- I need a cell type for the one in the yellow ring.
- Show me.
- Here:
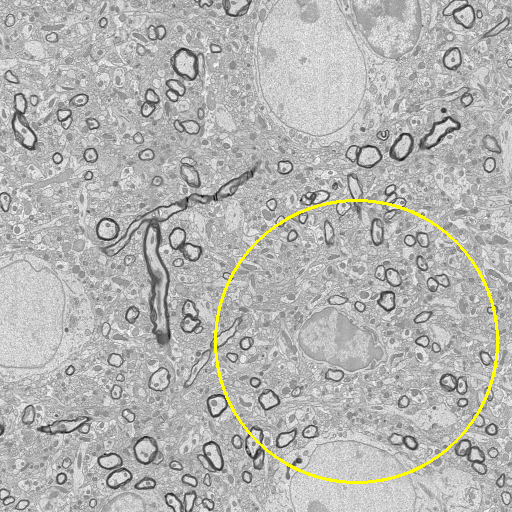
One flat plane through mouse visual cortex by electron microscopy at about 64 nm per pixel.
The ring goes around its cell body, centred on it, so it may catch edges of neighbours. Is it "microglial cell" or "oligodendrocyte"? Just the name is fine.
microglial cell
